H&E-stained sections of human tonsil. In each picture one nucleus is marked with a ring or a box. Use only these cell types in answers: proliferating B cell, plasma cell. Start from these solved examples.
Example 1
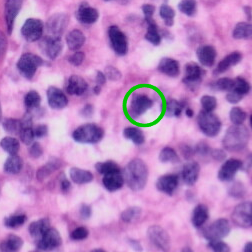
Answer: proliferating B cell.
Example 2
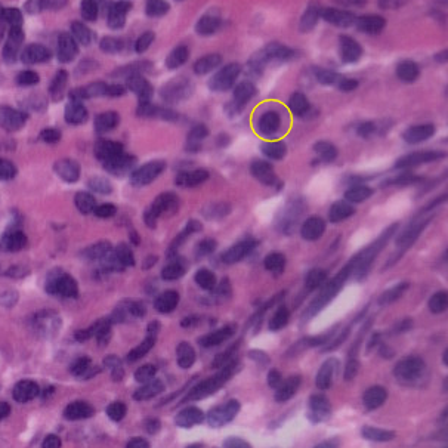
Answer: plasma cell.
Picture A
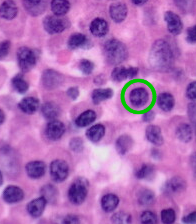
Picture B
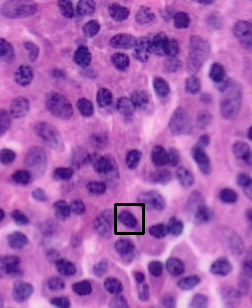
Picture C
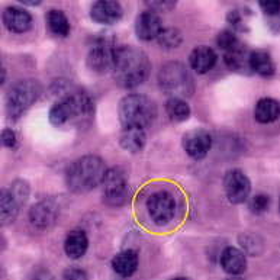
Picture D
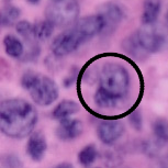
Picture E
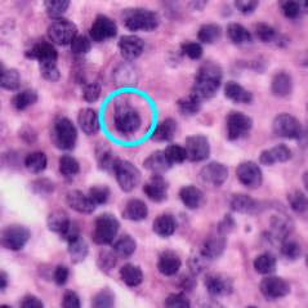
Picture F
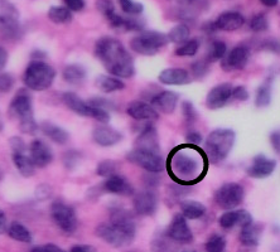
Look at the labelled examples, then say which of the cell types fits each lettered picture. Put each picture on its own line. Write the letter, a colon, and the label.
A: plasma cell.
B: plasma cell.
C: plasma cell.
D: proliferating B cell.
E: proliferating B cell.
F: proliferating B cell.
